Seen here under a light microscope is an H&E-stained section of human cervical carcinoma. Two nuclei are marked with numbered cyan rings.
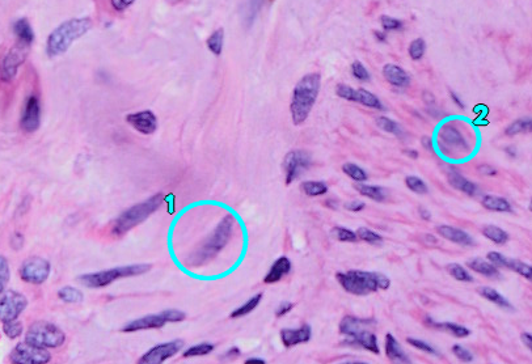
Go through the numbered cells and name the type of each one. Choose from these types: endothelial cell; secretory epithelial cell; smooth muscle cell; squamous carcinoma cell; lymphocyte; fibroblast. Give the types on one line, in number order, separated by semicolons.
fibroblast; smooth muscle cell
